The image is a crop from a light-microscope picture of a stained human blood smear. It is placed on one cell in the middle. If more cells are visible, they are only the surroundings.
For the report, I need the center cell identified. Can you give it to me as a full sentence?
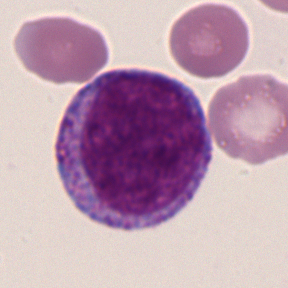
At the middle of the frame sits a promyelocyte.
